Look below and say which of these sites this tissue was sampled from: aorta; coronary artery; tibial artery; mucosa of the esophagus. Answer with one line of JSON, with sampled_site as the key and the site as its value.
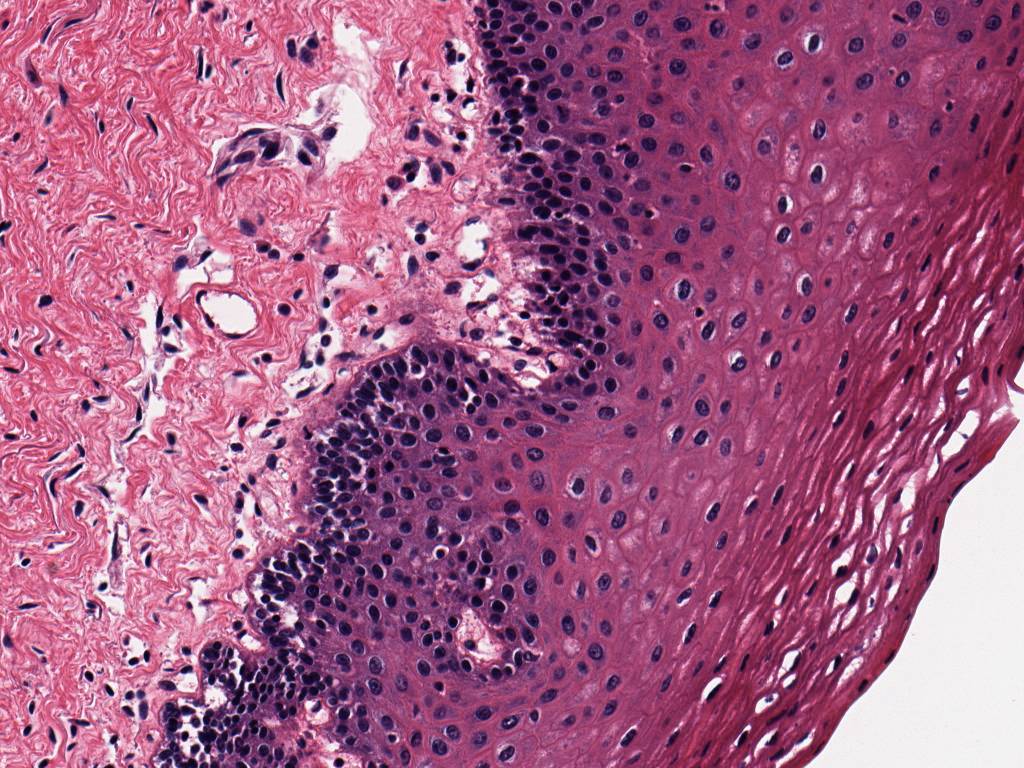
{"sampled_site": "mucosa of the esophagus"}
